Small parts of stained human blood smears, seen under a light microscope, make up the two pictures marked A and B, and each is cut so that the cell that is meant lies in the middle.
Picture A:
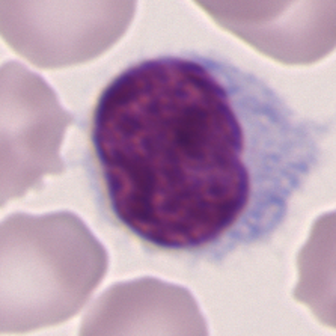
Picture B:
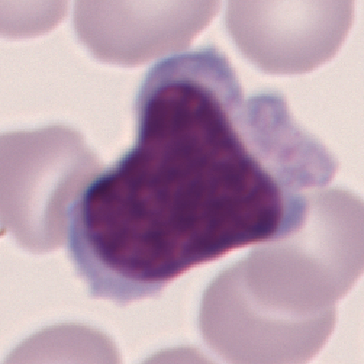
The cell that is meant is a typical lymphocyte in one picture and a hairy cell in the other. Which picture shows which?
A: hairy cell
B: typical lymphocyte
